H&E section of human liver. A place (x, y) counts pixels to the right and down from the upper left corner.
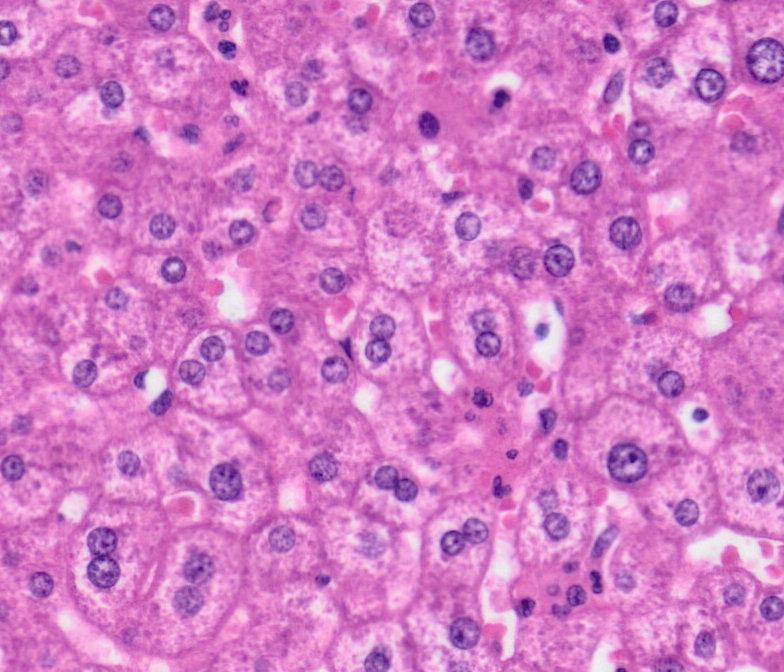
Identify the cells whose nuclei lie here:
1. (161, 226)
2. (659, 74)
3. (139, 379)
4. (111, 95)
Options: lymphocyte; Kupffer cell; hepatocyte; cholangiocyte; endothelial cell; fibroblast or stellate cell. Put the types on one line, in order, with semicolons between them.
hepatocyte; hepatocyte; endothelial cell; hepatocyte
